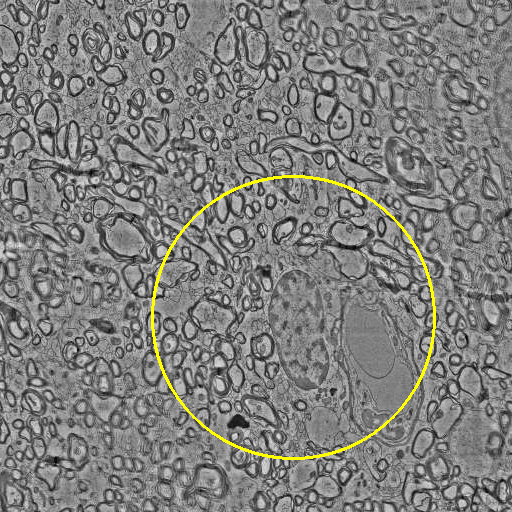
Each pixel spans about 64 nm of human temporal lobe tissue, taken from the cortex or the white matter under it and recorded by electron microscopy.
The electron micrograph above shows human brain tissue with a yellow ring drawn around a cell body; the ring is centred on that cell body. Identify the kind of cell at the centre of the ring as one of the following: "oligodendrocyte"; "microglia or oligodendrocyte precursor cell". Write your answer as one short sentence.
The cell at the centre of the ring is a microglial cell or oligodendrocyte precursor cell.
